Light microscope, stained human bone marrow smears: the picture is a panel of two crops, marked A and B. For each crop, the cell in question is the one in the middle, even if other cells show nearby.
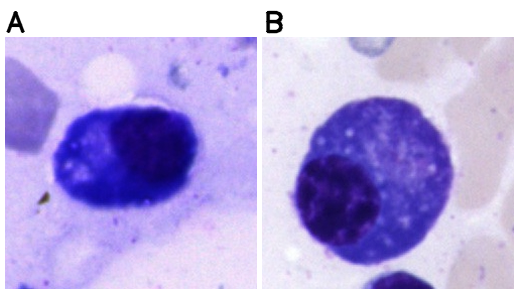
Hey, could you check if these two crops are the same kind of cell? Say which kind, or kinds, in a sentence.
Yes, the centre of both crops is taken up by plasma cells.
